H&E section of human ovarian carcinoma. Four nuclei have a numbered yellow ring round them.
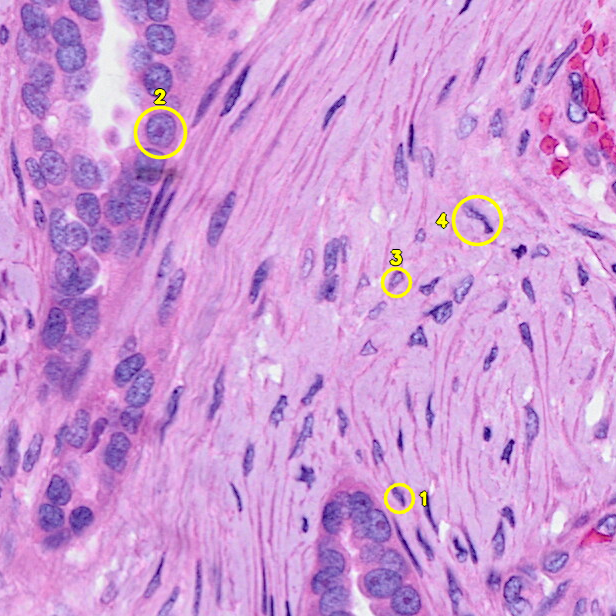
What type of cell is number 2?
carcinoma cell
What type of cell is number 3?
fibroblast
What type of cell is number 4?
fibroblast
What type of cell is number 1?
fibroblast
